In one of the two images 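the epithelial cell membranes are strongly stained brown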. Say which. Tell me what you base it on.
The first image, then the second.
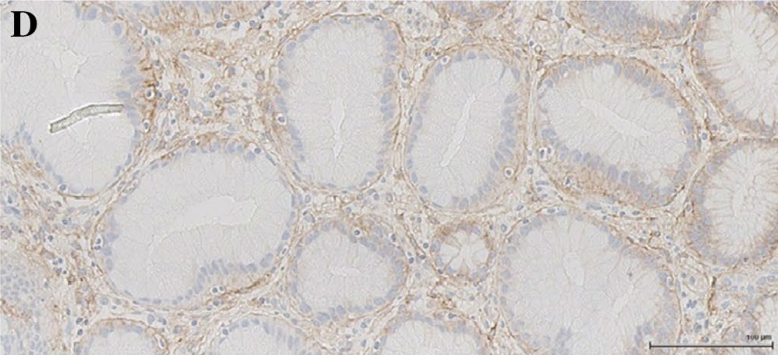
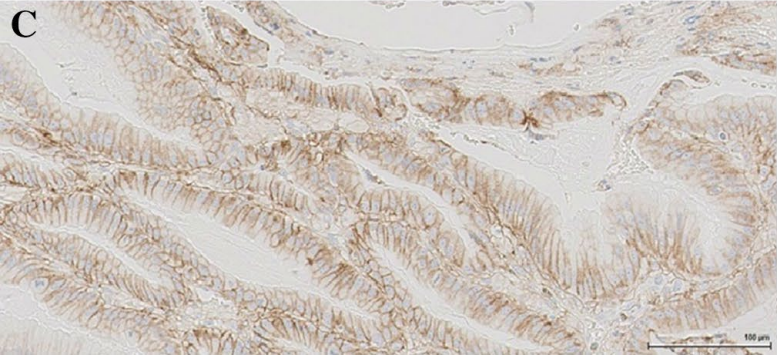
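The second image. First image: the gland epithelium is mostly pale, with only faint brown at the base of the cells. Second image: brown stain clearly outlines the borders of the columnar epithelial cells.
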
